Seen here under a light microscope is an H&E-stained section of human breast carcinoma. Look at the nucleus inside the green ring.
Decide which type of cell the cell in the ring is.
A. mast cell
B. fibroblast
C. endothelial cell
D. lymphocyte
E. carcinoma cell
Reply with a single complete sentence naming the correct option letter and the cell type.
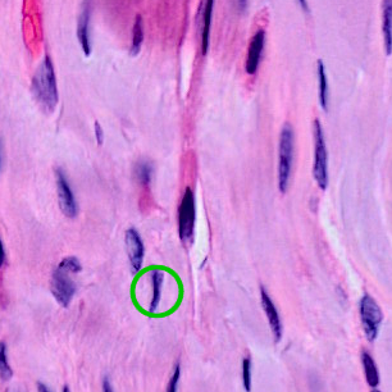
Option B is correct in that the cell in the ring is a fibroblast.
